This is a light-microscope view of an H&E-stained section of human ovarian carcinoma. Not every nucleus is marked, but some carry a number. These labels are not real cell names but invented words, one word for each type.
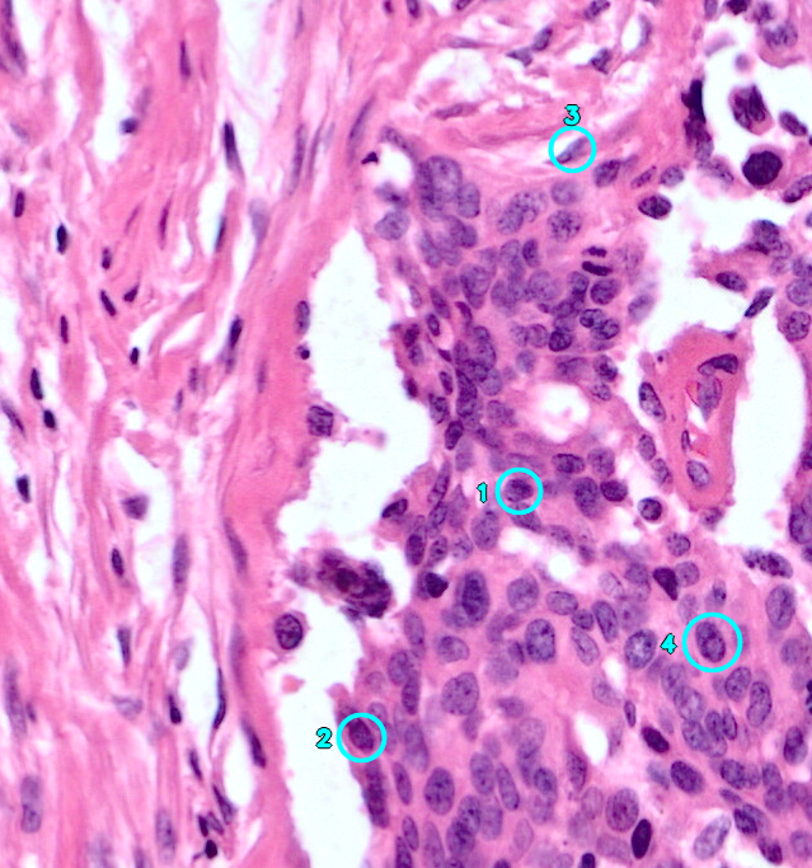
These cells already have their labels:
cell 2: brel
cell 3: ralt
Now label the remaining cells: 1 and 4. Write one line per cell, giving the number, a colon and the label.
1: brel
4: brel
